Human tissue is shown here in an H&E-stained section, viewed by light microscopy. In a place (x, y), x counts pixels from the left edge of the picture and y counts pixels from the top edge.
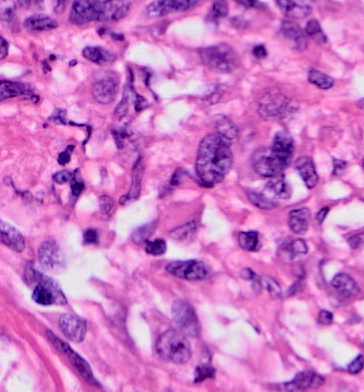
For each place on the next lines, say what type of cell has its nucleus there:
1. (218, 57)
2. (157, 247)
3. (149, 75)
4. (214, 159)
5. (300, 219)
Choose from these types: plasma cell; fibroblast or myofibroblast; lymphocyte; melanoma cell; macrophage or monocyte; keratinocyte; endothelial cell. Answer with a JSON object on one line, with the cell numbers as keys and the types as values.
{"1": "melanoma cell", "2": "lymphocyte", "3": "fibroblast or myofibroblast", "4": "melanoma cell", "5": "melanoma cell"}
